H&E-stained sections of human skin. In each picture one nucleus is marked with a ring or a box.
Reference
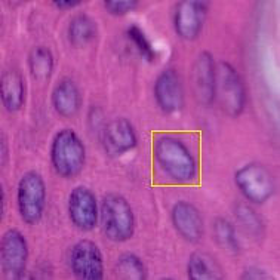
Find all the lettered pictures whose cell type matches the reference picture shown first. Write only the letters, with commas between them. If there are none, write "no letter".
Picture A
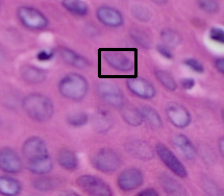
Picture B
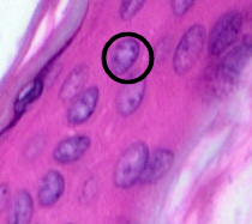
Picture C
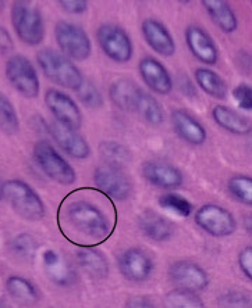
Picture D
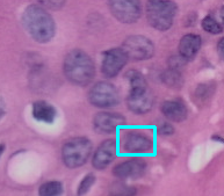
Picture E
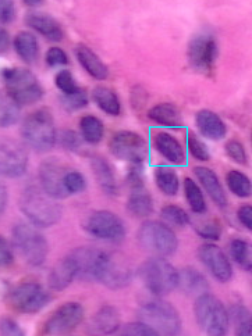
A, B, C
